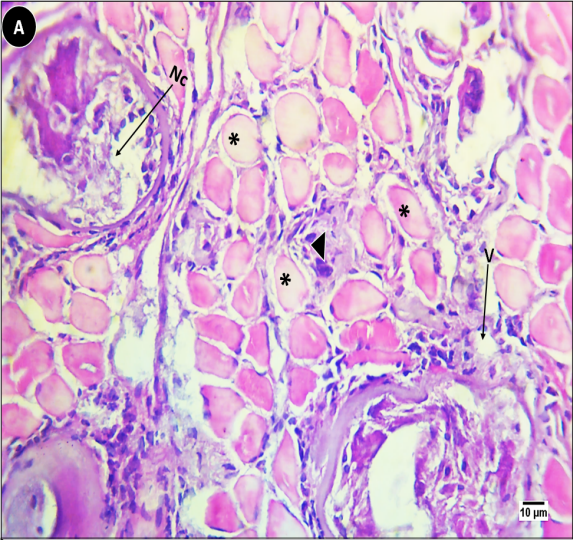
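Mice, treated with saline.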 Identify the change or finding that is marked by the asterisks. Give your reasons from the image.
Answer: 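The marked fibres have pale, shrunken pink sarcoplasm. A clear space separates the marked sarcoplasm from the fibre outline.
Hence: muscle cell destruction.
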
